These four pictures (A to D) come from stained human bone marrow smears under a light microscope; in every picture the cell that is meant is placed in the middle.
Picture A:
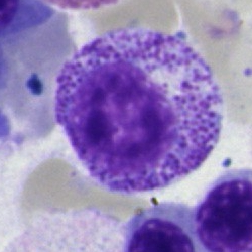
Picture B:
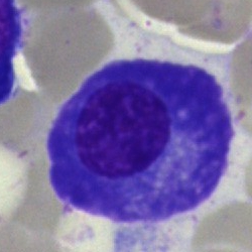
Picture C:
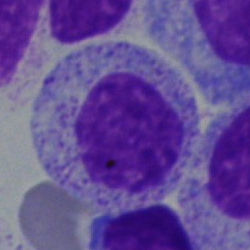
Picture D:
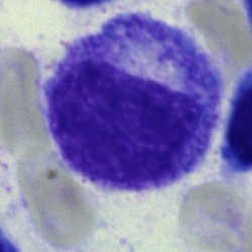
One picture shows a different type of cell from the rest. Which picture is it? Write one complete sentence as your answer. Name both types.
All pictures except B show myelocytes; picture B shows a plasma cell.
